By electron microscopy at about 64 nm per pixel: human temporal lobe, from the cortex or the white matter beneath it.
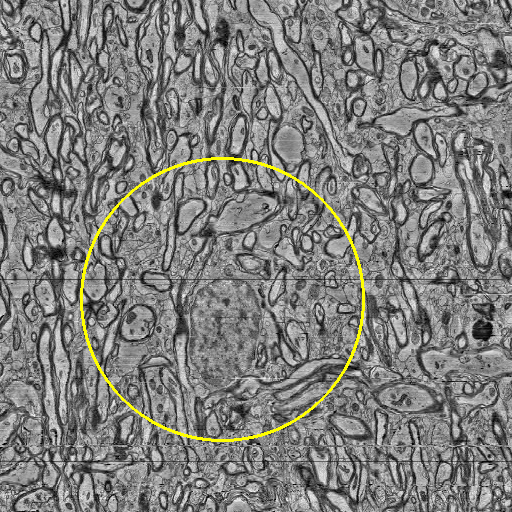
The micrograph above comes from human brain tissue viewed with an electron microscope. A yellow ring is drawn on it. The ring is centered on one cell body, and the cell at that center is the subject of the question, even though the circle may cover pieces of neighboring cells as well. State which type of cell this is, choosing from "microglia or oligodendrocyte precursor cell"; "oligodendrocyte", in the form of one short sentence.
The cell the ring is centered on is an oligodendrocyte.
